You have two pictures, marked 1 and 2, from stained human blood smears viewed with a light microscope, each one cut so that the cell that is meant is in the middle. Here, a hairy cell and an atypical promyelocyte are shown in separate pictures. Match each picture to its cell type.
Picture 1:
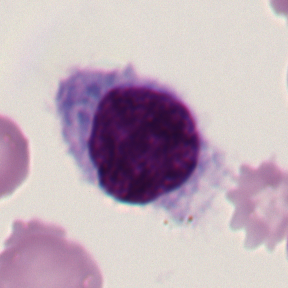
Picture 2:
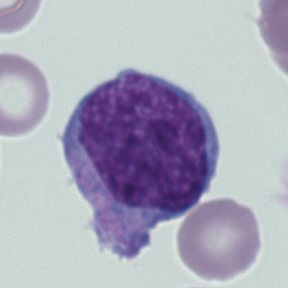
1: hairy cell
2: atypical promyelocyte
